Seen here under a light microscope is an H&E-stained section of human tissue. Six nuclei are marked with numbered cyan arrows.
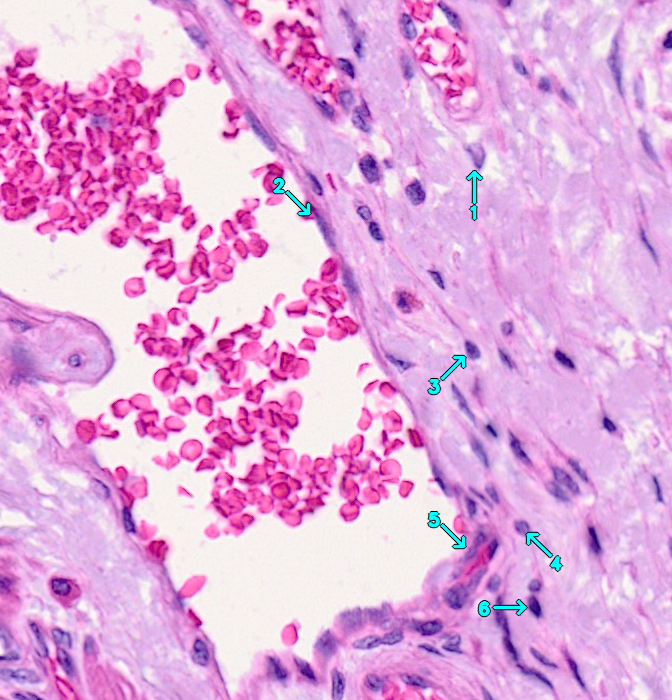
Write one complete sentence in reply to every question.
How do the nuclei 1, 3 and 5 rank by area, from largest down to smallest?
The nuclei rank 1, 3, 5, from largest to smallest.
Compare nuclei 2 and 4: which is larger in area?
Of the two, number 2 is bigger and takes up about 2 times the area of number 4.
